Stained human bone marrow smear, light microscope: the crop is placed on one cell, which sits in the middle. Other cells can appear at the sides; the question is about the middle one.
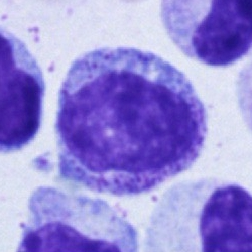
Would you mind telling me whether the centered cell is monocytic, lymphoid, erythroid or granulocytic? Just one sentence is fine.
The cell centered in the crop is included in the granulocytic lineage.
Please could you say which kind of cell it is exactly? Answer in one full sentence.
The cell centred in this crop is categorized as a myelocyte.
